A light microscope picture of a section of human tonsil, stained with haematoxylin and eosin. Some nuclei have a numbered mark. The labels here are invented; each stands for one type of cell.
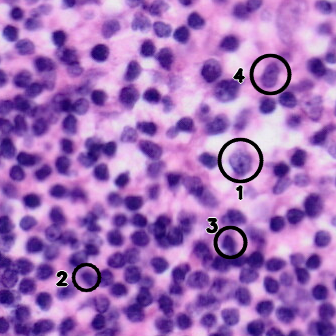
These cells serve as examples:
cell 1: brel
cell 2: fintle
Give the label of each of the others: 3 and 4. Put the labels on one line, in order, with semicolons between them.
fintle; brel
